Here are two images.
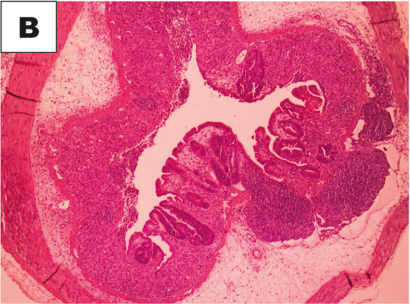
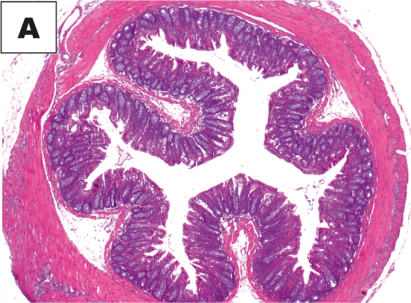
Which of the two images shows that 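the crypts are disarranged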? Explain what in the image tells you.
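First image: crypts are irregular, distorted and patchy within a thickened, pale, loose wall. Second image: crypts stand in a regular, evenly spaced row around the lumen.
Conclusion: the first image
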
